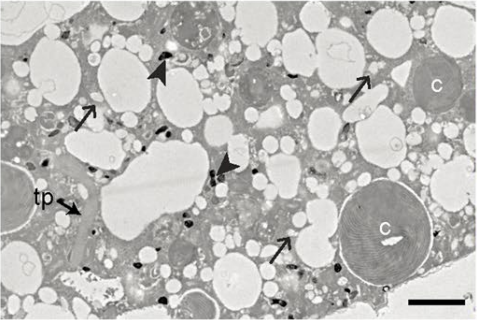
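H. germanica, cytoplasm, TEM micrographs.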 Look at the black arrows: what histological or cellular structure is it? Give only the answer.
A: Fibrillar vesicles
